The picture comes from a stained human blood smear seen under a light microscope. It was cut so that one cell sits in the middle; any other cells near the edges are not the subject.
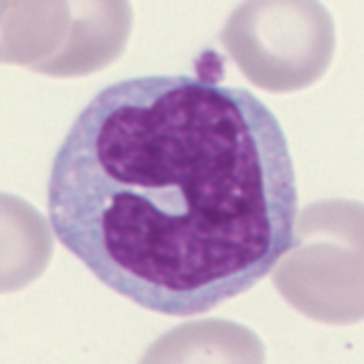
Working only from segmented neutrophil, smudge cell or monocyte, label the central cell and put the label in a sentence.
The central cell, amid any neighbouring cells, is a monocyte.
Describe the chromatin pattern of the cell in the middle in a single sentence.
The nuclear chromatin is fine, showing no coarse aggregates.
